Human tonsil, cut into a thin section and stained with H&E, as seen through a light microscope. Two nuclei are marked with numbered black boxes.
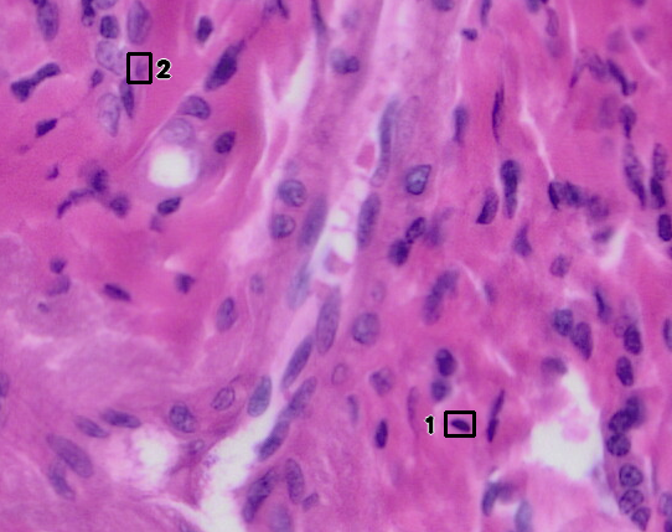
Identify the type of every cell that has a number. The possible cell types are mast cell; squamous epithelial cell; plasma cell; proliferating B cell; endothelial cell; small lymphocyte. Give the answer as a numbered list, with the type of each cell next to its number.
1. mast cell
2. endothelial cell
